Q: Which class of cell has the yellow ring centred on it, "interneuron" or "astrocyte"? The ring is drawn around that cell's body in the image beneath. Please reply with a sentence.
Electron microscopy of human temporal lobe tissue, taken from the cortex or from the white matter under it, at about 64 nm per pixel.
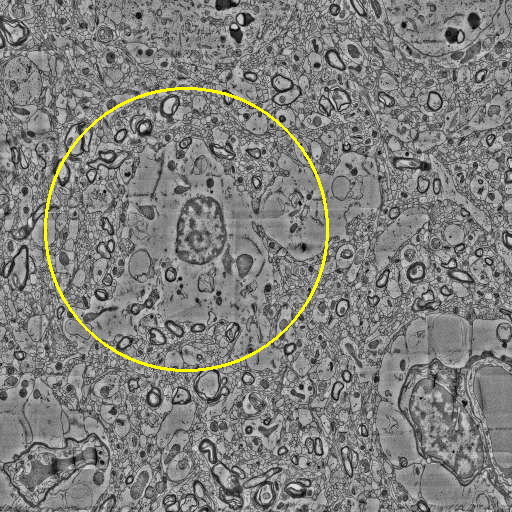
It is centred on an astrocyte.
